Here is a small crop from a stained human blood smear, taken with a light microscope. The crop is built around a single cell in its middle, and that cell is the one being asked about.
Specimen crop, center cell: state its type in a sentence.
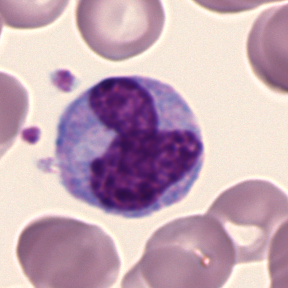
The cell in the exact centre of the crop is a monocyte.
